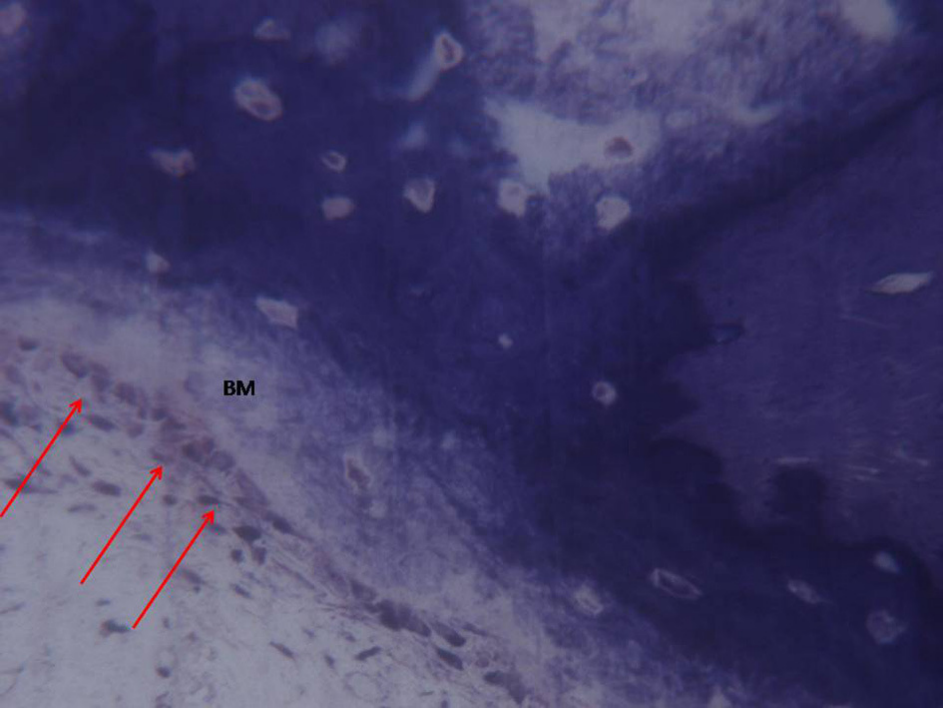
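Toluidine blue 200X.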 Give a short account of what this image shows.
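Developing bone tissue, with a row of osteoblasts lining a band of newly laid matrix. The osteoblasts have dark, oval to slightly elongated nuclei and are packed closely side by side in a line along the matrix surface. Next to them is a lighter, finely textured zone of matrix. Further on is deep blue matrix containing scattered small, pale, rounded lacunae, and looser tissue with spindle-shaped cells lies on the other side of the cell row.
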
